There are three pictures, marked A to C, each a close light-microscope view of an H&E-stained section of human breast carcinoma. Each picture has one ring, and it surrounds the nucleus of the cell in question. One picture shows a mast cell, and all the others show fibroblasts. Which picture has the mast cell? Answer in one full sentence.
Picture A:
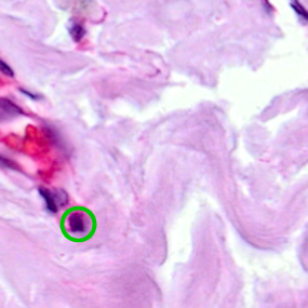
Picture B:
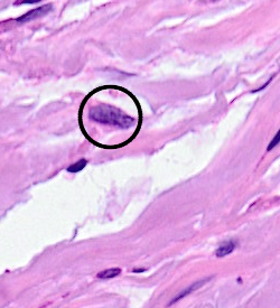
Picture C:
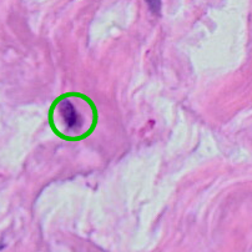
Picture A is the one that shows the mast cell.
